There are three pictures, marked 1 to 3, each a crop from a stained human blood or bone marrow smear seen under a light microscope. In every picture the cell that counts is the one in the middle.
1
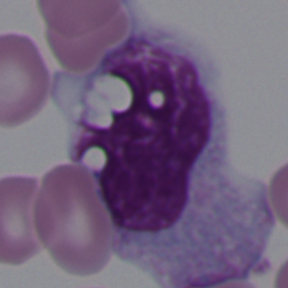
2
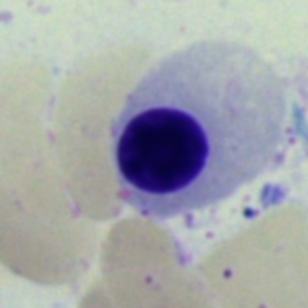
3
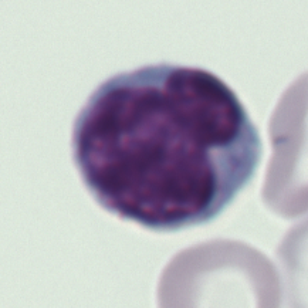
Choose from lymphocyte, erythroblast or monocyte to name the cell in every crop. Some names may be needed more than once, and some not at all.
1: monocyte
2: erythroblast
3: lymphocyte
